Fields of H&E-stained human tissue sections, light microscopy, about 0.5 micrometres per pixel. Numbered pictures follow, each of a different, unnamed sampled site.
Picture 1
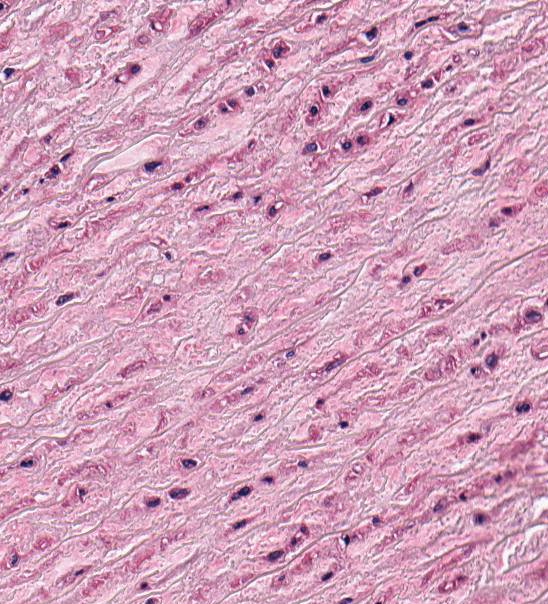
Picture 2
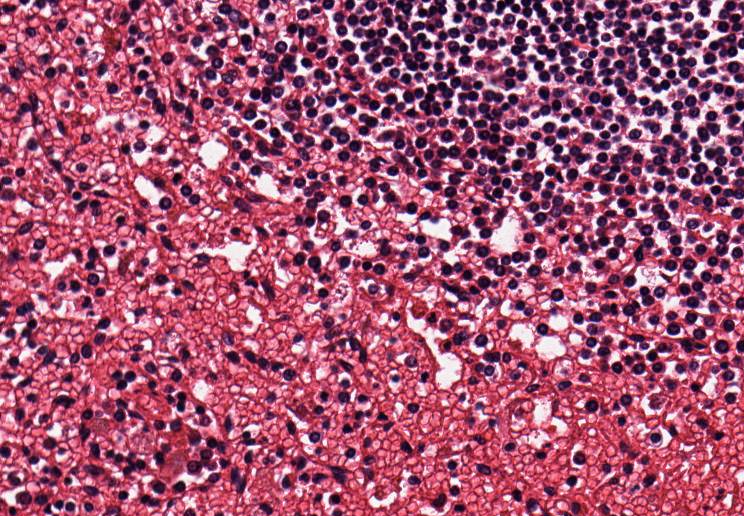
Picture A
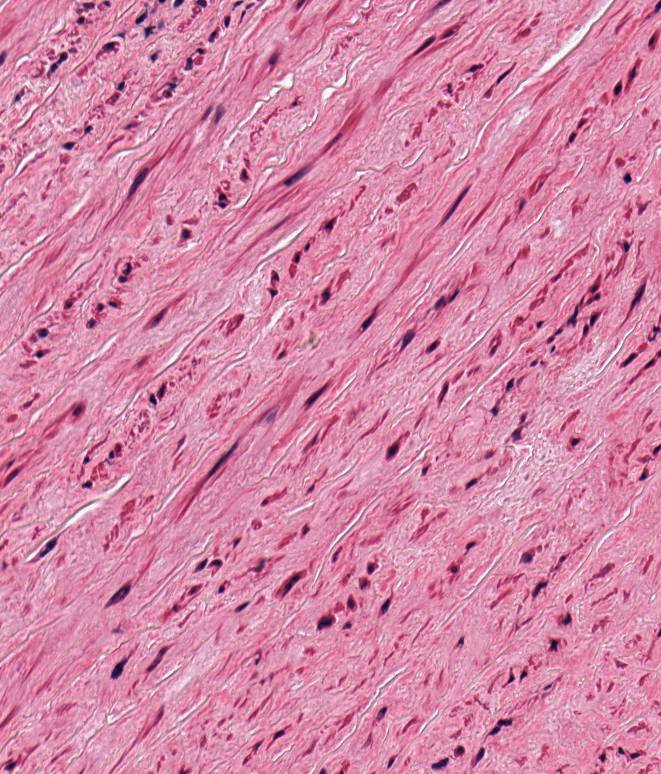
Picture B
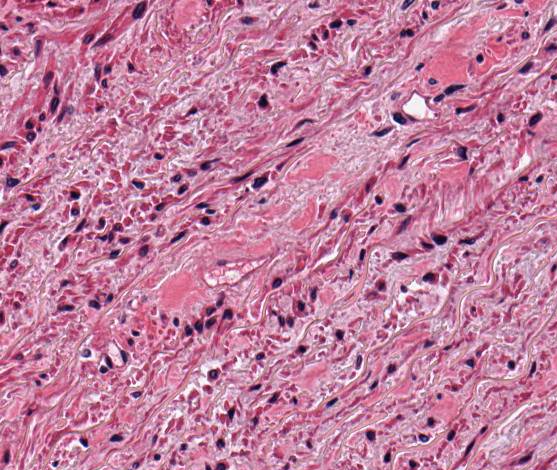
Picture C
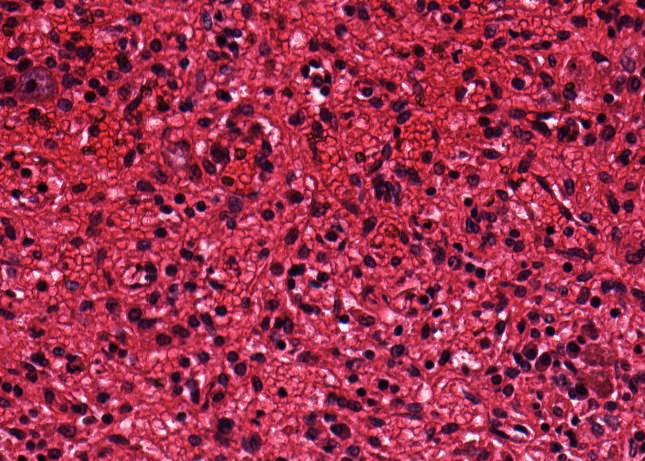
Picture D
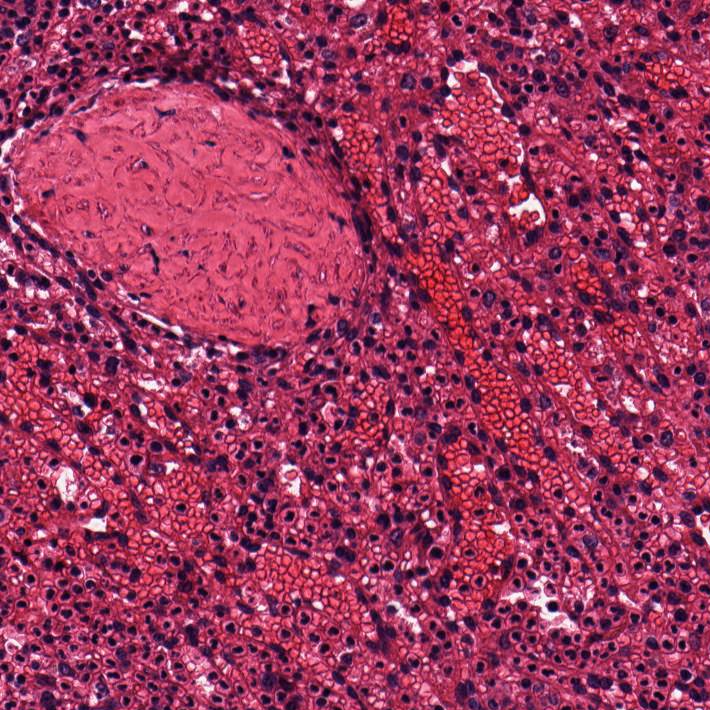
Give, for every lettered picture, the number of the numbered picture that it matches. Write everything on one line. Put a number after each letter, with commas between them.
A 1, B 1, C 2, D 2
